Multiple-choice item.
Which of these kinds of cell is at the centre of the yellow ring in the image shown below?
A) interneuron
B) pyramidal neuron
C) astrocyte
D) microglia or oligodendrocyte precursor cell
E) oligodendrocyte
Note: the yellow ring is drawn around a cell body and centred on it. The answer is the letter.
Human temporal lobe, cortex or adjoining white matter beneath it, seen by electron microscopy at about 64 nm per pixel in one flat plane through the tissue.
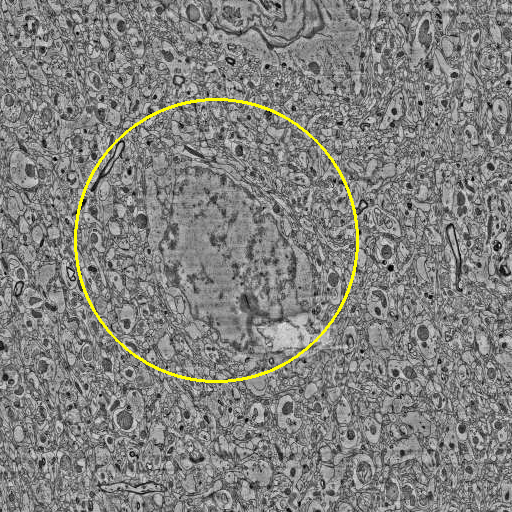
A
